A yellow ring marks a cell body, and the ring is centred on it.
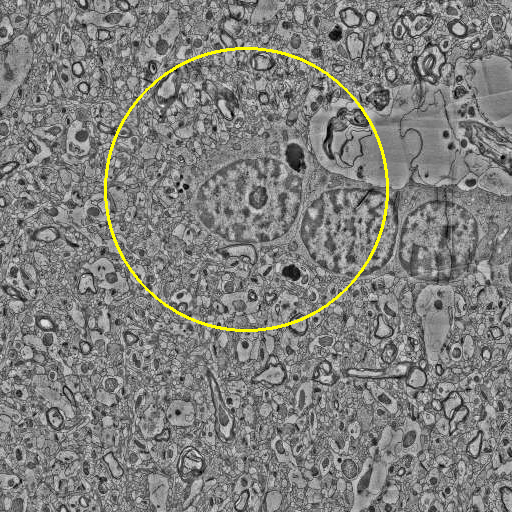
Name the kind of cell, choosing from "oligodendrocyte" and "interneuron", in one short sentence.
The marked cell body belongs to an oligodendrocyte.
